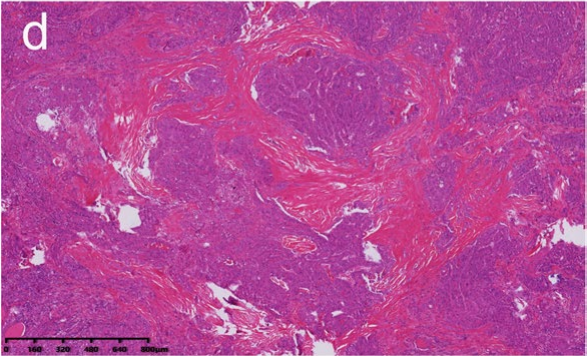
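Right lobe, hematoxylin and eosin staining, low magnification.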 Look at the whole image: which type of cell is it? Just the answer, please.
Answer: Densely distributed tumor cells.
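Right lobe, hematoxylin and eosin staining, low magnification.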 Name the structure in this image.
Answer: Fibrous stromal component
